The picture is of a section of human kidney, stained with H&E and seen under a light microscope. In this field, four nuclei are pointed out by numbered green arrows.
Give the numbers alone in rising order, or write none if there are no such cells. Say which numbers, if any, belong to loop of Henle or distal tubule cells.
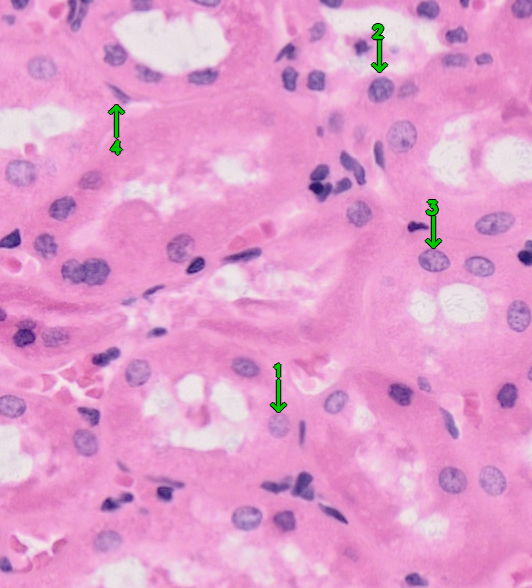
2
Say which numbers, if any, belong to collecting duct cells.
none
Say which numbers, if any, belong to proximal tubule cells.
1, 3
